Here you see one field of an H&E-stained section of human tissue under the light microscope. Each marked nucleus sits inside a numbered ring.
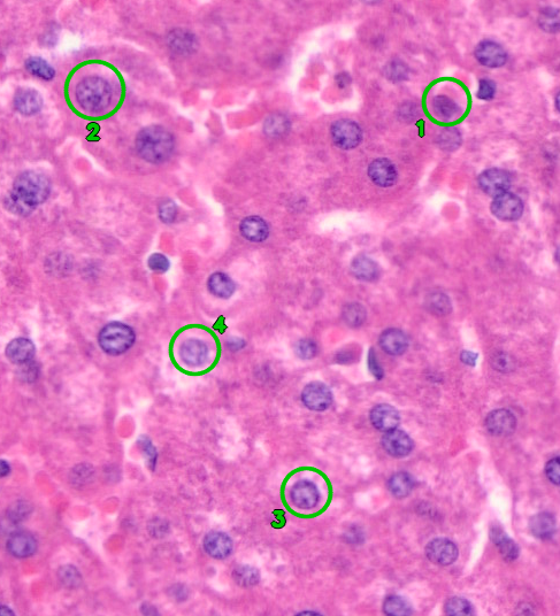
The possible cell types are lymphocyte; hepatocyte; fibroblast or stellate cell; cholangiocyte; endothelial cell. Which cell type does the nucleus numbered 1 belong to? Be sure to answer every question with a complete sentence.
Here, the cell given the number 1 is an endothelial cell.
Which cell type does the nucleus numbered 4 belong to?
The nucleus labelled 4 belongs to a hepatocyte.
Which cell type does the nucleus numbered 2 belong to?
Classified as a hepatocyte is the cell with the number 2.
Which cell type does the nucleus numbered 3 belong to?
The marked nucleus 3 is that of a hepatocyte.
